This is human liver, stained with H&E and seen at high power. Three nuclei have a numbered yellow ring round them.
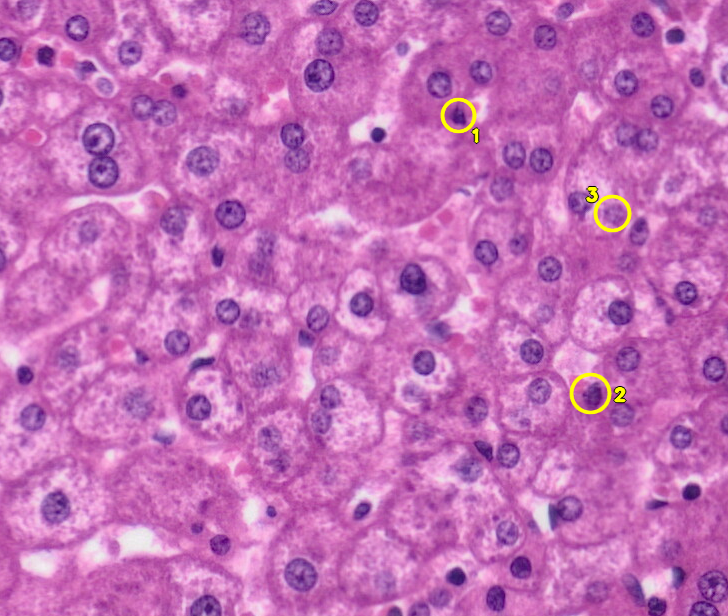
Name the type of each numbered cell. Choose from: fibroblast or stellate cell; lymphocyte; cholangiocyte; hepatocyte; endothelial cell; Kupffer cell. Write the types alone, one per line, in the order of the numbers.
fibroblast or stellate cell
endothelial cell
hepatocyte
